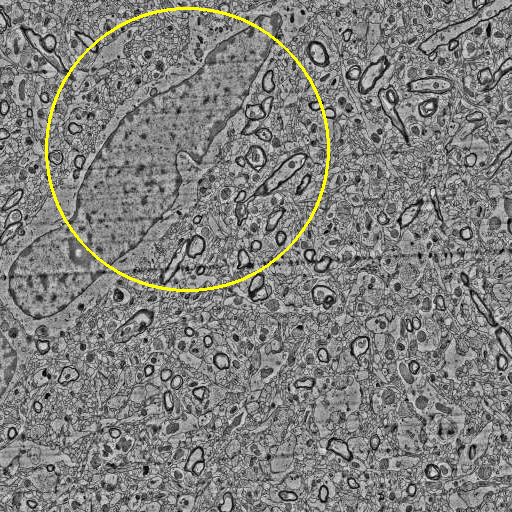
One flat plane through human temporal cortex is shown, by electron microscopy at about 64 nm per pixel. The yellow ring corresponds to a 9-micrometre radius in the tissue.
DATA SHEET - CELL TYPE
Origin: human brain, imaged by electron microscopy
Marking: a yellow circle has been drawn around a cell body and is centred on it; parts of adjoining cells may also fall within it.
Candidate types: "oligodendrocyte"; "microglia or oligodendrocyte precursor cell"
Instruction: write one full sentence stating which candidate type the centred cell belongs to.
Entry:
The cell body at the centre of the yellow ring in this micrograph belongs to a microglial cell or oligodendrocyte precursor cell.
